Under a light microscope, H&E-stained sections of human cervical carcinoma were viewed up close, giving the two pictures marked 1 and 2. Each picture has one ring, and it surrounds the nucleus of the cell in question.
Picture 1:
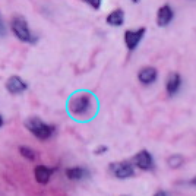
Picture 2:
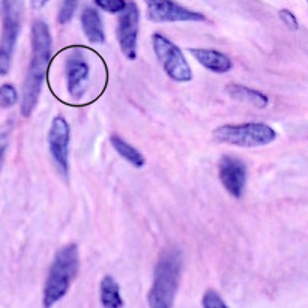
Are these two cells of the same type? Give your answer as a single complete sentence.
No, picture 1 shows a smooth muscle cell and picture 2 shows a fibroblast.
